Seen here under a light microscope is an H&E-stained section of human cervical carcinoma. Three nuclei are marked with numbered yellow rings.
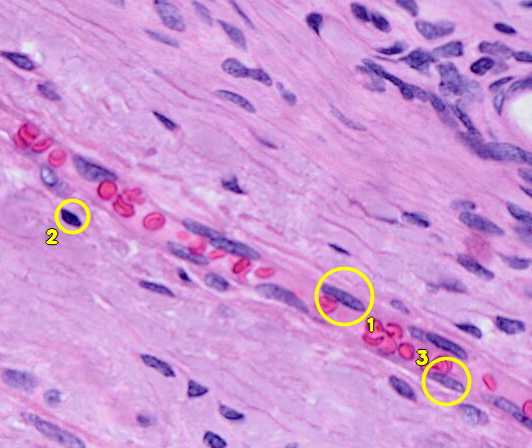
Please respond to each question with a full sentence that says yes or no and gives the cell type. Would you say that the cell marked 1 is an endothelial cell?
Yes, number 1 corresponds to an endothelial cell.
